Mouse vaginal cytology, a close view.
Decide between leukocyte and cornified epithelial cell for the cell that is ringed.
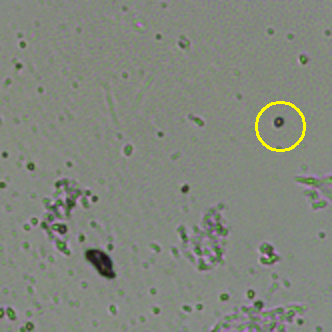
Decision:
I take the ringed cell for a leukocyte.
